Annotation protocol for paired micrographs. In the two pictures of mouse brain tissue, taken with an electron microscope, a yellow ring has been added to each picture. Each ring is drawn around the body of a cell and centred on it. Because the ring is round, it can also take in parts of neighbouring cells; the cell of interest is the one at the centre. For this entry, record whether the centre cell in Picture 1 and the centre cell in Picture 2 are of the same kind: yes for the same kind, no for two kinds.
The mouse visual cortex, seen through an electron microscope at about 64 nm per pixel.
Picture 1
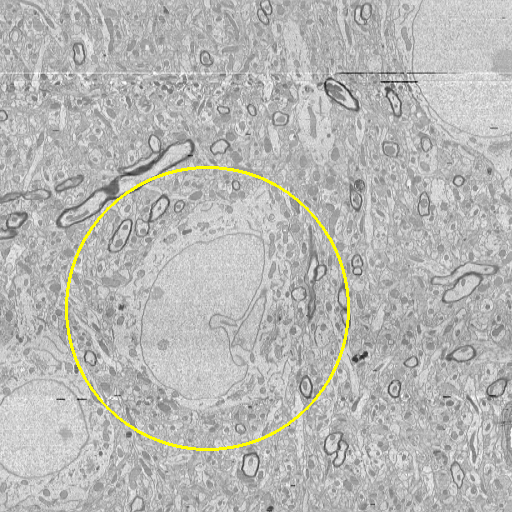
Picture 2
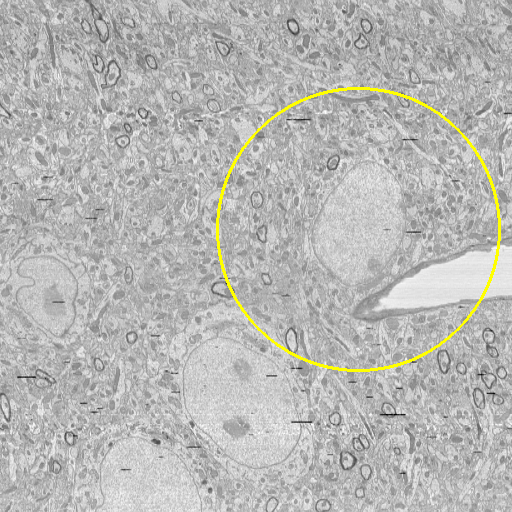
no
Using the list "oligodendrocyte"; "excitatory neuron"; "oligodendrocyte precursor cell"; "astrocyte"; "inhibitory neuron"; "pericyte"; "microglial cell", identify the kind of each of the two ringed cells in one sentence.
The first is an excitatory neuron and the second is an astrocyte.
